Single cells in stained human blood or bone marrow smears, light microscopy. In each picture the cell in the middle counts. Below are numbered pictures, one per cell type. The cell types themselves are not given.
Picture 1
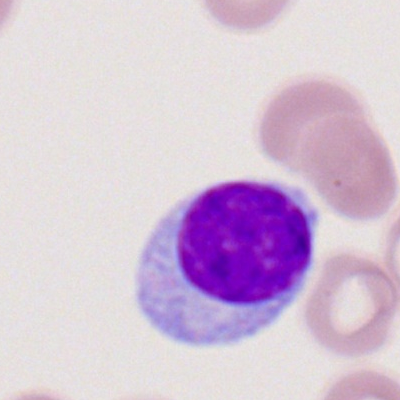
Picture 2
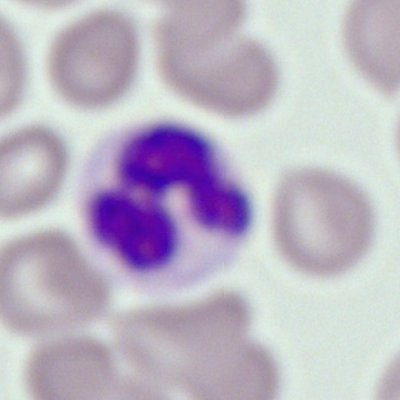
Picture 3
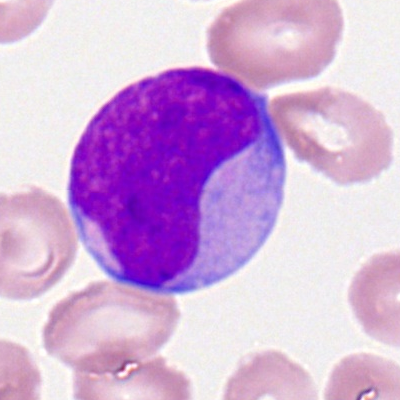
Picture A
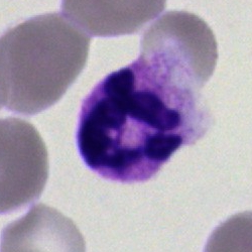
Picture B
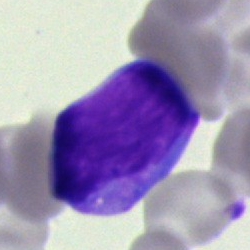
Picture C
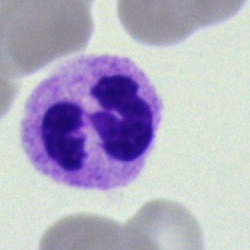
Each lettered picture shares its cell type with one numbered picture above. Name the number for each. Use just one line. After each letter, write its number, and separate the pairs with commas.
A 2, B 3, C 2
